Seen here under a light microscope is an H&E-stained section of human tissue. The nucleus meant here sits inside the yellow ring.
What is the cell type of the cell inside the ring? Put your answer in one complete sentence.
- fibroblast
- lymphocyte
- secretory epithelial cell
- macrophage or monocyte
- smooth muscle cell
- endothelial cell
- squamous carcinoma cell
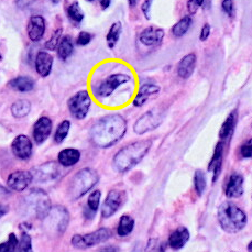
Cytologically, the cell inside the ring is to be regarded as a lymphocyte.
